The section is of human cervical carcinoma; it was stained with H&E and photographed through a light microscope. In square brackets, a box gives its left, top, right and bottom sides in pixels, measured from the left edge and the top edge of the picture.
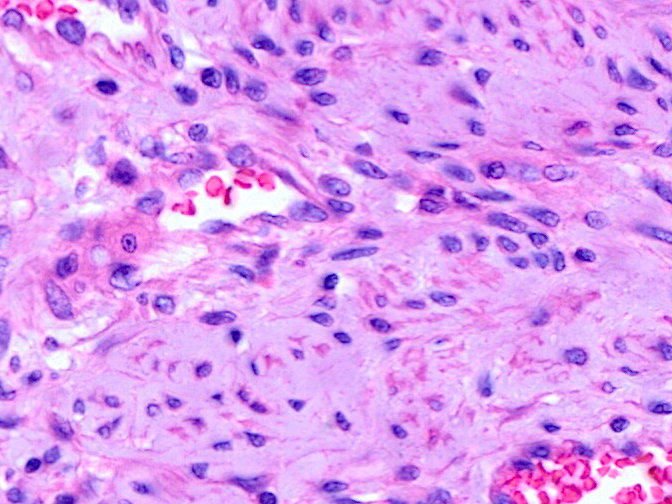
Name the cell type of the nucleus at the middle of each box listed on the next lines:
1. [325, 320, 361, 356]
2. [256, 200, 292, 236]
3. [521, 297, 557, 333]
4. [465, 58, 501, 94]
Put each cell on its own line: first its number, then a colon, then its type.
1: fibroblast
2: endothelial cell
3: smooth muscle cell
4: fibroblast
